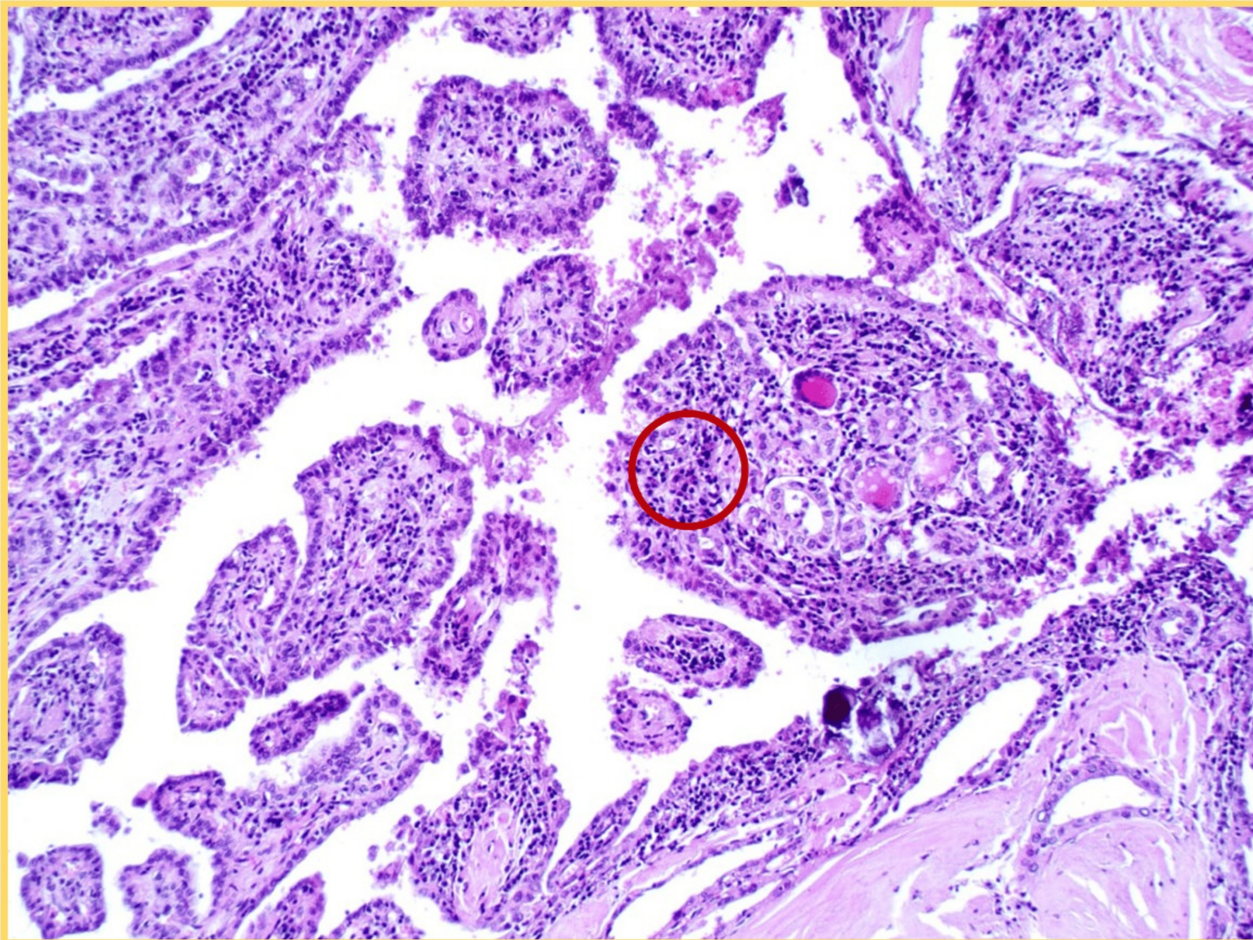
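This thyroid tissue is built of many branching papillae, each with a central core of connective tissue and small vessels, covered by cuboidal to columnar epithelial cells with crowded, overlapping purple nuclei. Within one large papilla there are small follicles containing pink colloid, and a dark purple, fragmented deposit lies at the edge of a papilla below it. Pale pink, dense fibrous stroma occupies the lower right corner.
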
